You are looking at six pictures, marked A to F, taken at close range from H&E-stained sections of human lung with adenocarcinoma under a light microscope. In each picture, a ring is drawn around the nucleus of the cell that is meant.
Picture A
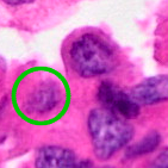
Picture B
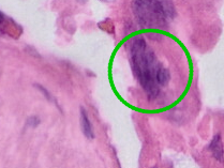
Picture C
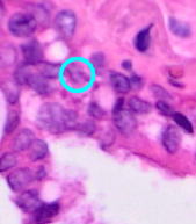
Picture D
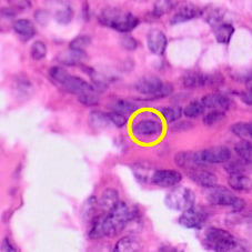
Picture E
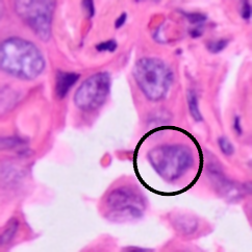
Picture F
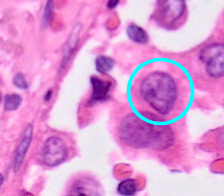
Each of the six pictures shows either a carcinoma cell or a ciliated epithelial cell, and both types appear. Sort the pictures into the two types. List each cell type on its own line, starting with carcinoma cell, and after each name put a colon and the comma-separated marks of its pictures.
carcinoma cell: A, B, E, F
ciliated epithelial cell: C, D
